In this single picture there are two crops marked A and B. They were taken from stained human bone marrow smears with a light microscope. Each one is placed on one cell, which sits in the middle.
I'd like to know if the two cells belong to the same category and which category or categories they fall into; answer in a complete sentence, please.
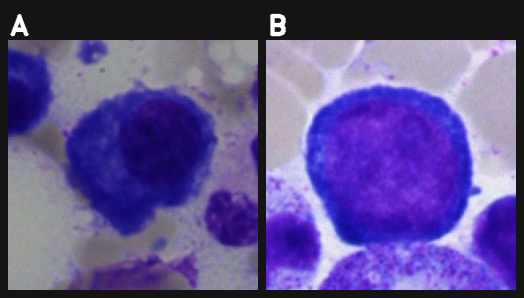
No, crop A shows a plasma cell, whereas a proerythroblast is what crop B shows.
